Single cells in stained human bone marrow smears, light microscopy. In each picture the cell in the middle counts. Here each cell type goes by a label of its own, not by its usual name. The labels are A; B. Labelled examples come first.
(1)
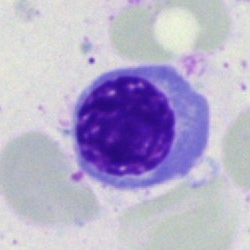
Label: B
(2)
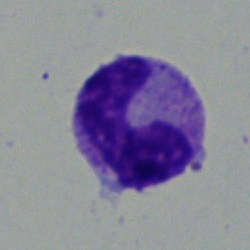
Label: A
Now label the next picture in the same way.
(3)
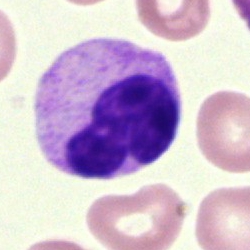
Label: A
